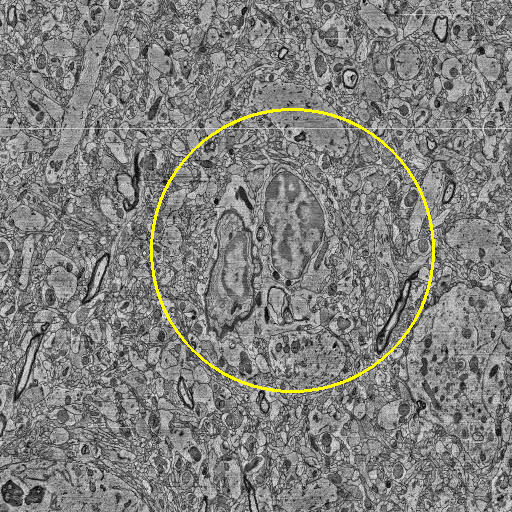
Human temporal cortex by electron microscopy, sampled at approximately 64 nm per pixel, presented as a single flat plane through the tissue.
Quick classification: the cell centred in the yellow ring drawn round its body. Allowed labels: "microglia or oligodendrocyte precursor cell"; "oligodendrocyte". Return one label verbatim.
microglia or oligodendrocyte precursor cell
